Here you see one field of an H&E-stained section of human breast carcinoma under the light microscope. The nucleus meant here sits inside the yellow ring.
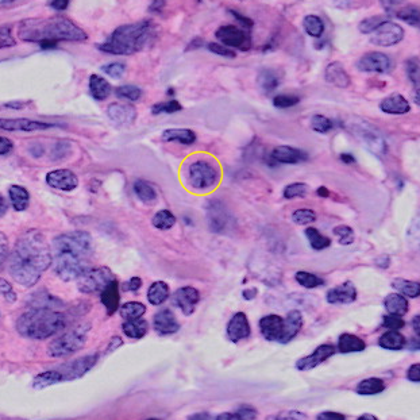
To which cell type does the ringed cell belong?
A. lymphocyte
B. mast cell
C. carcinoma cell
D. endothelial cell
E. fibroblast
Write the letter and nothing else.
B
